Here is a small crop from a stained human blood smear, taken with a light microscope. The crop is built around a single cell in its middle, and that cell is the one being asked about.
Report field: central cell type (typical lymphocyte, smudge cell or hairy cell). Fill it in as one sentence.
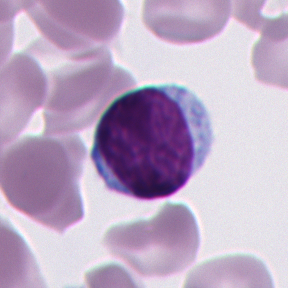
In this crop, the cell at the very middle is a typical lymphocyte.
